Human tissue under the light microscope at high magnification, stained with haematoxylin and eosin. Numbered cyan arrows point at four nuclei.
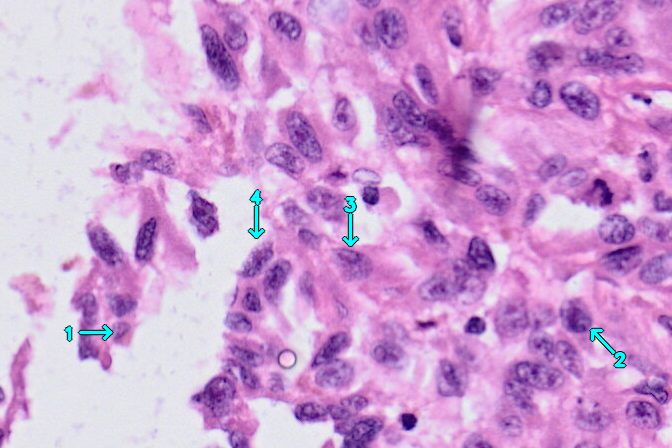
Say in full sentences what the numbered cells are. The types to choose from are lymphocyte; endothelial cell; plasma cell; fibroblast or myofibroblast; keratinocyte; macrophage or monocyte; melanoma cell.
Cell 1 is a macrophage or monocyte. Cells 2, 3 and 4 are melanoma cells.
